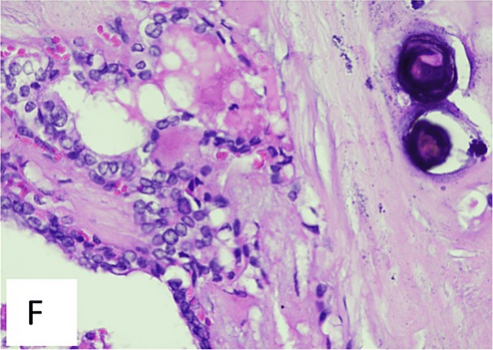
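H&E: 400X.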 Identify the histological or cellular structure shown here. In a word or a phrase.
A: Psammommatous calcifications.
